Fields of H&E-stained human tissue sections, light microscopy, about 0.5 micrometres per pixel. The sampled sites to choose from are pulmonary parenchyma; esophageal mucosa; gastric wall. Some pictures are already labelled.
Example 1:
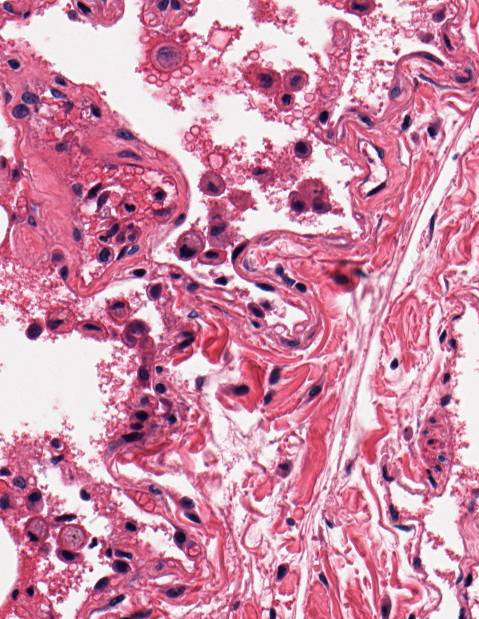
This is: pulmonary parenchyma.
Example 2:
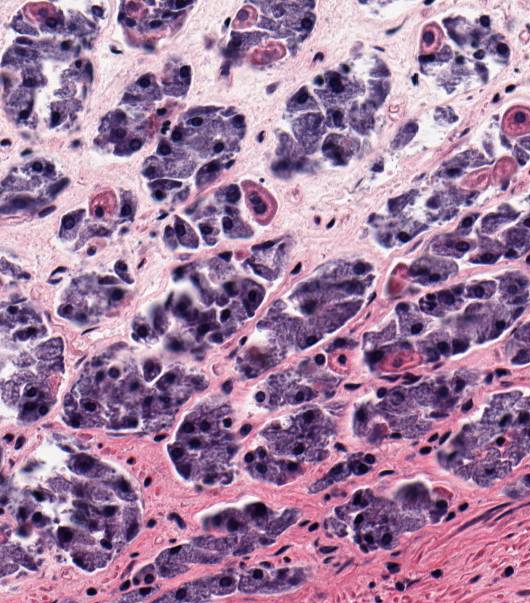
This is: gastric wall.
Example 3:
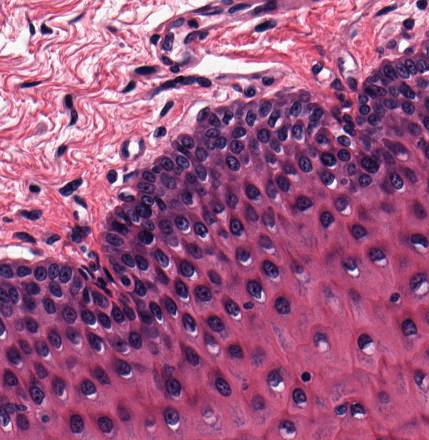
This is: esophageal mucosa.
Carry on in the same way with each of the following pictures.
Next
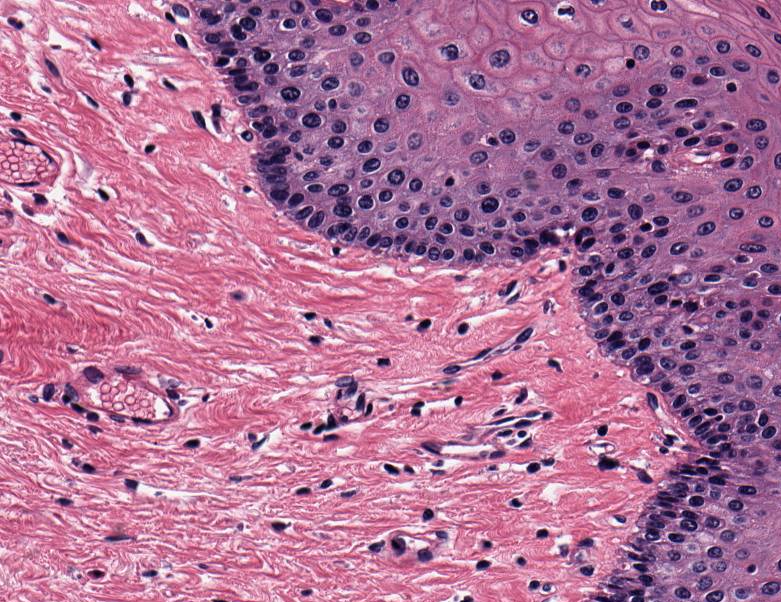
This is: esophageal mucosa.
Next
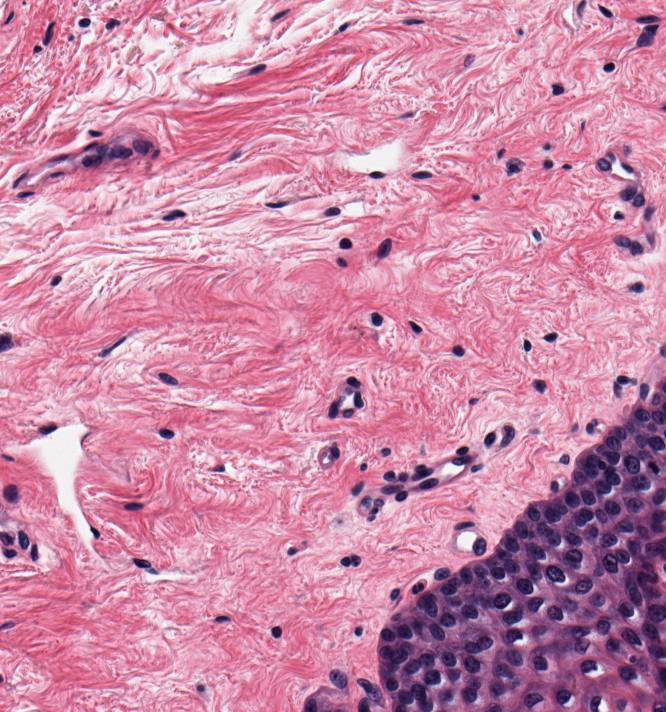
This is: esophageal mucosa.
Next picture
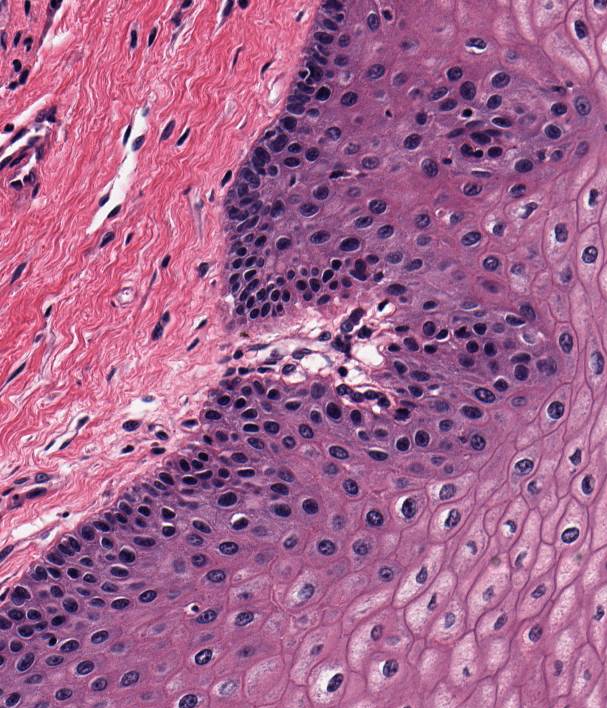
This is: esophageal mucosa.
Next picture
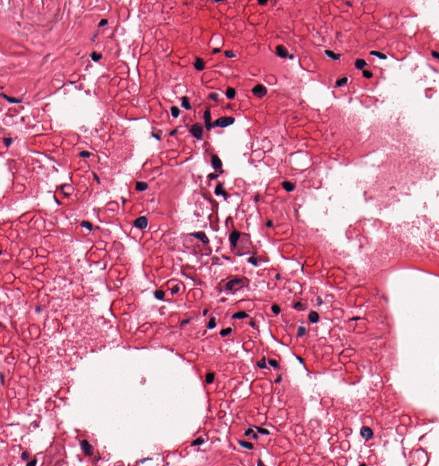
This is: pulmonary parenchyma.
